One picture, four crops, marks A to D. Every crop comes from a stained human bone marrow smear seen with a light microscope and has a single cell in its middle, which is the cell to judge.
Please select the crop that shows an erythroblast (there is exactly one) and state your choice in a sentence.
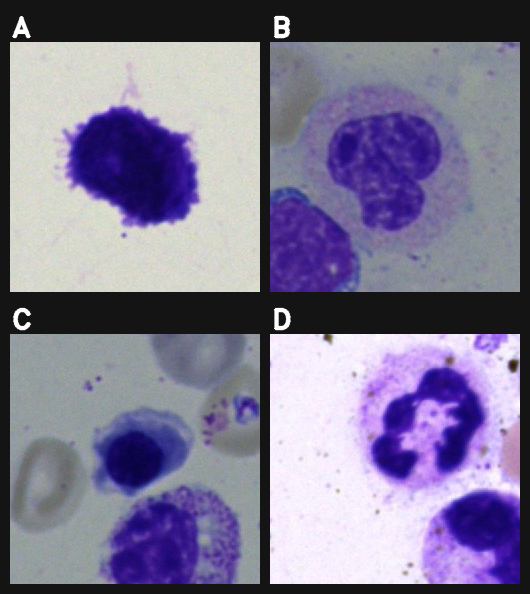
It is crop C, not any other, that shows an erythroblast.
